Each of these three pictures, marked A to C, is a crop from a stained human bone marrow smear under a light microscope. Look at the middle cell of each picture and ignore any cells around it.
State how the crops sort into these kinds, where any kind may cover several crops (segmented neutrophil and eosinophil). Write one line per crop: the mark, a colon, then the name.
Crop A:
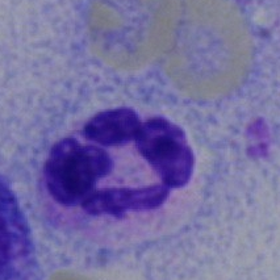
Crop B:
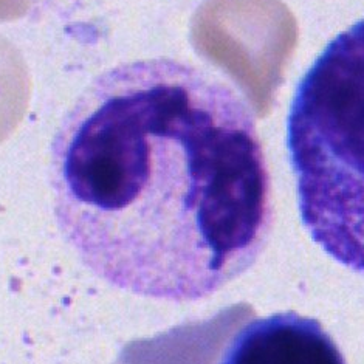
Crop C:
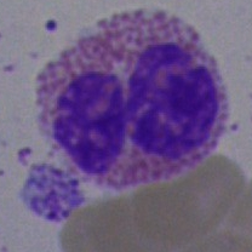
A: segmented neutrophil
B: segmented neutrophil
C: eosinophil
